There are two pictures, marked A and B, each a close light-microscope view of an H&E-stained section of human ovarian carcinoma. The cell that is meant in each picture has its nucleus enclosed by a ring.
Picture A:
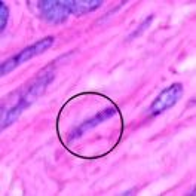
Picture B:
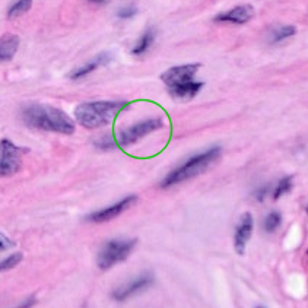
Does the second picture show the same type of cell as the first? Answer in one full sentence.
No, picture A shows a fibroblast and picture B shows a smooth muscle cell.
